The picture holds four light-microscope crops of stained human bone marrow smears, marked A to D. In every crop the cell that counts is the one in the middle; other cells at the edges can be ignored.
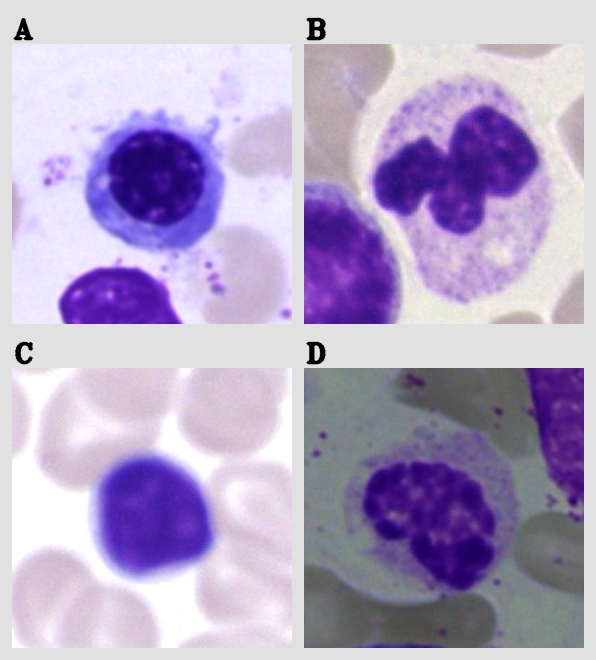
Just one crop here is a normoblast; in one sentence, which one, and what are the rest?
Crop A represents a normoblast, while crop B is a segmented neutrophil, crop C is a lymphocyte and crop D is a band neutrophil.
